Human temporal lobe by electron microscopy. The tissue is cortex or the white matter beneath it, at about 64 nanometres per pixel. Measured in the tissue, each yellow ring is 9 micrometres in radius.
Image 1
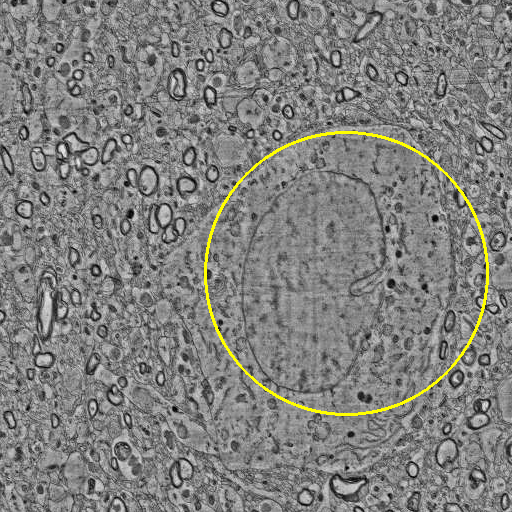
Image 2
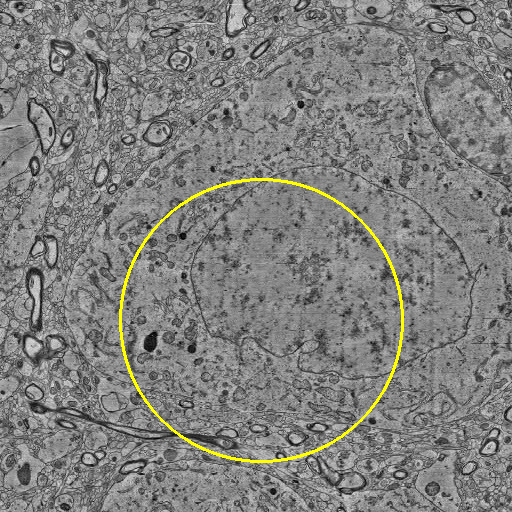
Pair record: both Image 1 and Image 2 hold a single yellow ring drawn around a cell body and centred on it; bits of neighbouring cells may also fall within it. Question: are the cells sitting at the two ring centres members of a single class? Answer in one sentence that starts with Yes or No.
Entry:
Yes, both ring-centre cells in Image 1 and Image 2 are members of one class.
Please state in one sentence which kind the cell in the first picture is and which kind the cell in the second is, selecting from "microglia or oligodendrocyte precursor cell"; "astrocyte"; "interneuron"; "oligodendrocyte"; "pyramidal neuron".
Each cell, in the first picture and the second, is a pyramidal neuron.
